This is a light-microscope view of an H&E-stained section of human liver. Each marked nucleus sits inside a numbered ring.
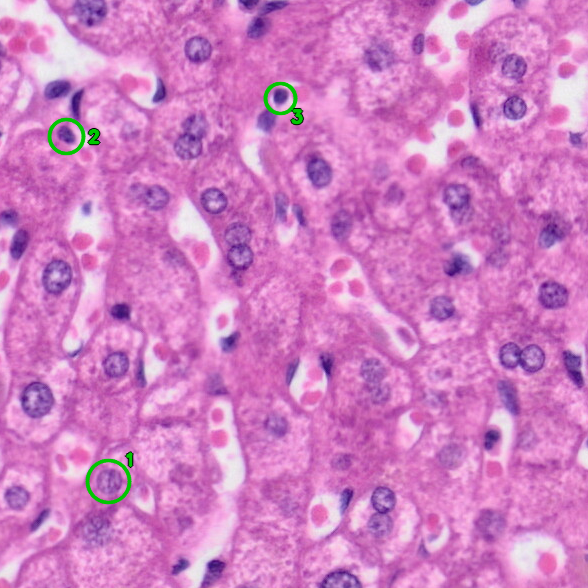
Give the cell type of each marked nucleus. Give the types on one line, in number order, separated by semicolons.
hepatocyte; lymphocyte; lymphocyte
